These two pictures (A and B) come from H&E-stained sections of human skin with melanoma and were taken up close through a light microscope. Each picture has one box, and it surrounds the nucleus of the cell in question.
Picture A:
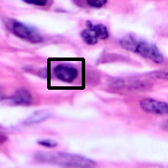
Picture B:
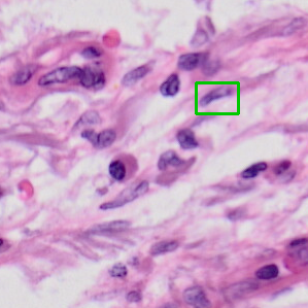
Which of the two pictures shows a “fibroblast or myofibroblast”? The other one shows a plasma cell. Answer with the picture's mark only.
B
